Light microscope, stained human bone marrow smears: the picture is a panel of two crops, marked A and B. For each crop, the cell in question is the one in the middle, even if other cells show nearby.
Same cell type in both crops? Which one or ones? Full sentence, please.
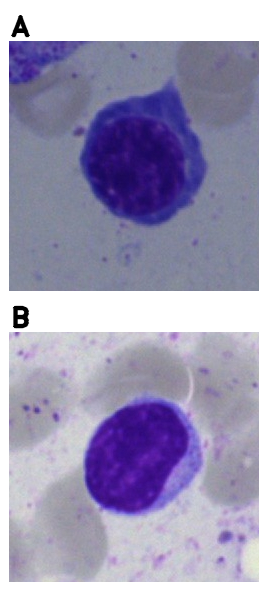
No, a lymphocyte is in crop B, and an erythroblast is in crop A.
